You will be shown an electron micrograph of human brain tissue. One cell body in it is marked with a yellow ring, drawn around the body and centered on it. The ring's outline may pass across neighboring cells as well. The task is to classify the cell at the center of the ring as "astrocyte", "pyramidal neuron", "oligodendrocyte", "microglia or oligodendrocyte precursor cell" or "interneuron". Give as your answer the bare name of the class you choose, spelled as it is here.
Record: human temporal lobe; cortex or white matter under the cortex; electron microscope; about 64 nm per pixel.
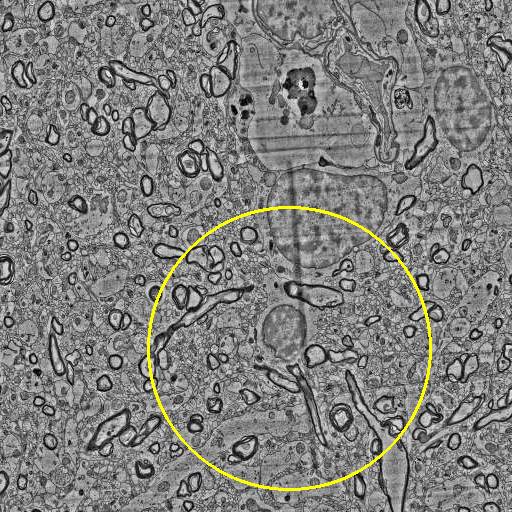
oligodendrocyte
